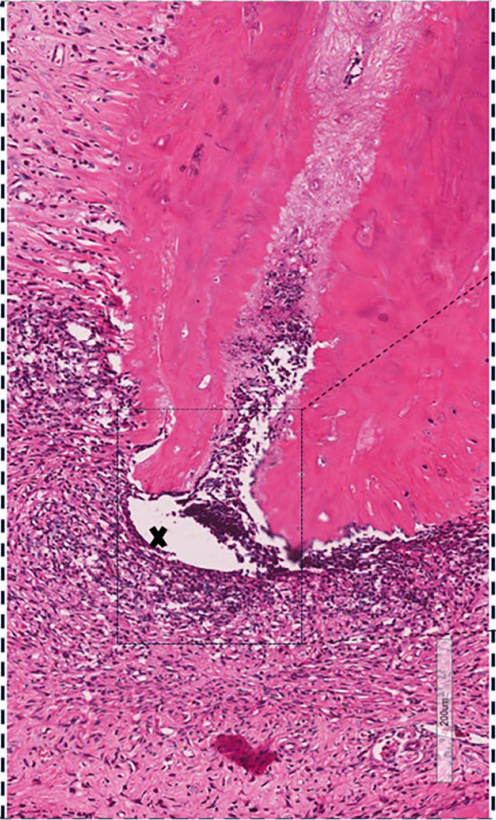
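This is the apex of a tooth root, with pink mineralized root tissue above and the periapical soft tissue below. The root canal runs down the middle as a paler band whose lower part is filled with crowded dark-purple nuclei instead of ordinary pulp. At the apex the canal opens into an empty-looking cavity rimmed by a dense layer of dark cells, forming an abscess. The outer surface of the pink root at the apex is uneven and scalloped, a sign that mineralized tissue has been resorbed. Around and below the apex the soft tissue is packed with small dark nuclei, grading downward into a looser, paler fibrous tissue with spindle-shaped cells.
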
